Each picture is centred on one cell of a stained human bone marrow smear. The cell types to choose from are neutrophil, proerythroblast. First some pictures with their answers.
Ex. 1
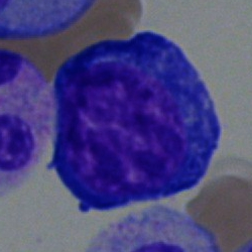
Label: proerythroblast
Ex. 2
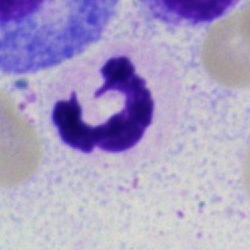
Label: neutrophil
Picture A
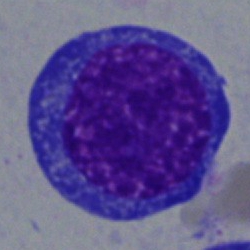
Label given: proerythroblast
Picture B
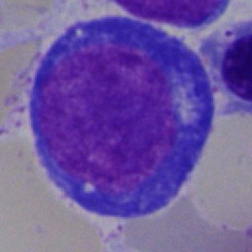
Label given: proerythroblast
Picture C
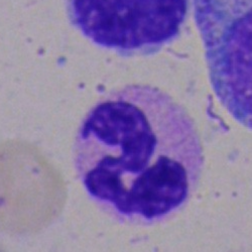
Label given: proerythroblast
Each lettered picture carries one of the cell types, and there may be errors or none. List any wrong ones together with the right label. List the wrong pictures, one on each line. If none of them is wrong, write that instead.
C: neutrophil, not proerythroblast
